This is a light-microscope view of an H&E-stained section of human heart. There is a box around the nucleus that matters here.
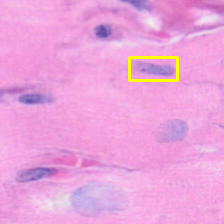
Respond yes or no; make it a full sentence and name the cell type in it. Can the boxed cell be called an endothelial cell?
No, score the boxed cell as a cardiomyocyte; it is not an endothelial cell.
